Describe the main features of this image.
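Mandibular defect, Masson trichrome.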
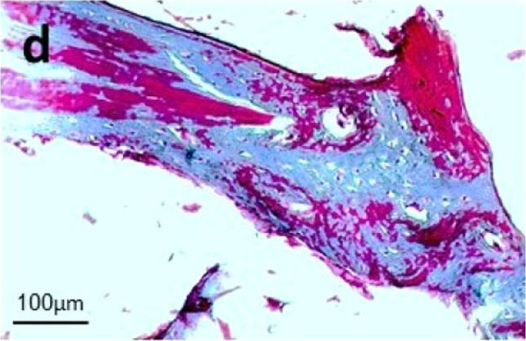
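Many small lacunae are scattered through the matrix. A few rounded spaces sit inside the thicker part of the trabecula. Its borders are irregular, and small detached fragments lie in the surrounding space.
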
